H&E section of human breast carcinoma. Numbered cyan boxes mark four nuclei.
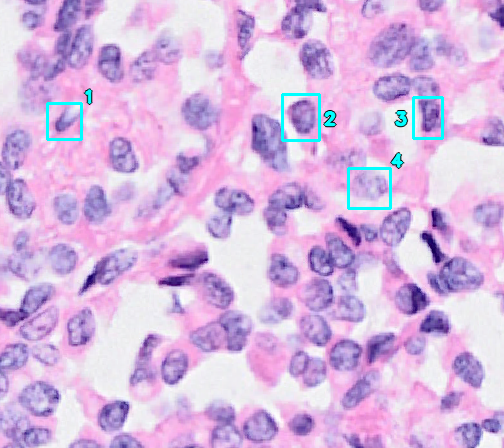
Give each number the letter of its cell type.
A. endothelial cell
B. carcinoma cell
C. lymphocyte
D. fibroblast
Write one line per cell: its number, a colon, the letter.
1: A
2: B
3: B
4: B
